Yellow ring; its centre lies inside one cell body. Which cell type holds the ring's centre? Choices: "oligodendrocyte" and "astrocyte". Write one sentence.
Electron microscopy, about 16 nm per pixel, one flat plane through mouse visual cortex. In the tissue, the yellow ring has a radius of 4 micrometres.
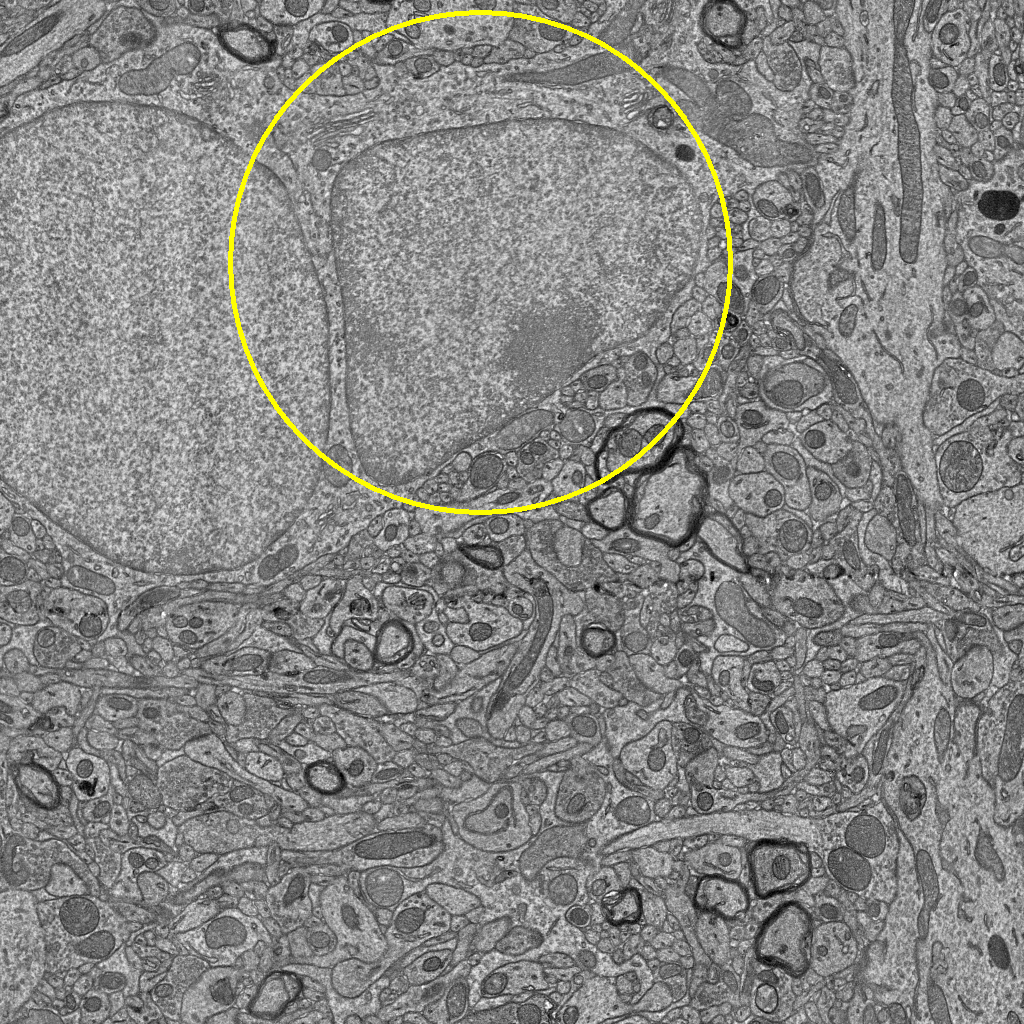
At the centre of the ring sits an astrocyte.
